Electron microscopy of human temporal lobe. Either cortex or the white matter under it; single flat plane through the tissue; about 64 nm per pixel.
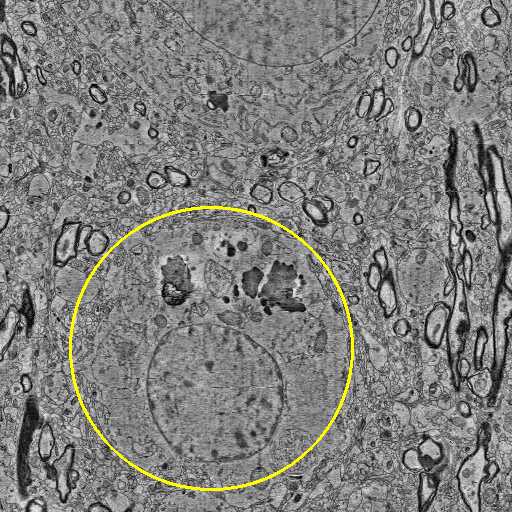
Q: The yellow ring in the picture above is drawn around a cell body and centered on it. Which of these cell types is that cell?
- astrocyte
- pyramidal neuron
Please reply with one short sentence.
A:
The cell body at the ring's center belongs to an astrocyte.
